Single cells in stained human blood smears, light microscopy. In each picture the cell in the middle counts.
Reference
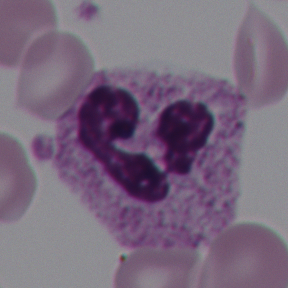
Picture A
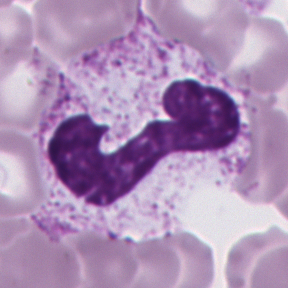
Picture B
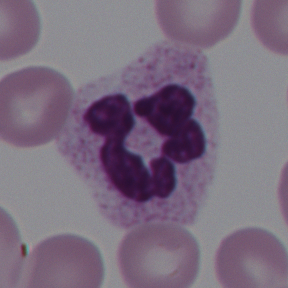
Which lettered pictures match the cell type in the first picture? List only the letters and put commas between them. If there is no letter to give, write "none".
A, B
